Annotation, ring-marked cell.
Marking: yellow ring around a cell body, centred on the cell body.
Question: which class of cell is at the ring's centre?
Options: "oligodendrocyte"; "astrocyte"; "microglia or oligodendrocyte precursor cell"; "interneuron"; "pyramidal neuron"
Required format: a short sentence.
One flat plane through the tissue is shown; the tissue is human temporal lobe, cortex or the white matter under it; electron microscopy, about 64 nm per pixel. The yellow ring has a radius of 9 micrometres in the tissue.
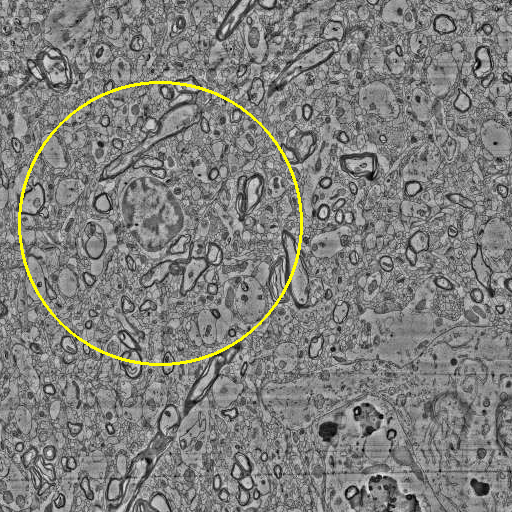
At the ring's centre is a microglial cell or oligodendrocyte precursor cell.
